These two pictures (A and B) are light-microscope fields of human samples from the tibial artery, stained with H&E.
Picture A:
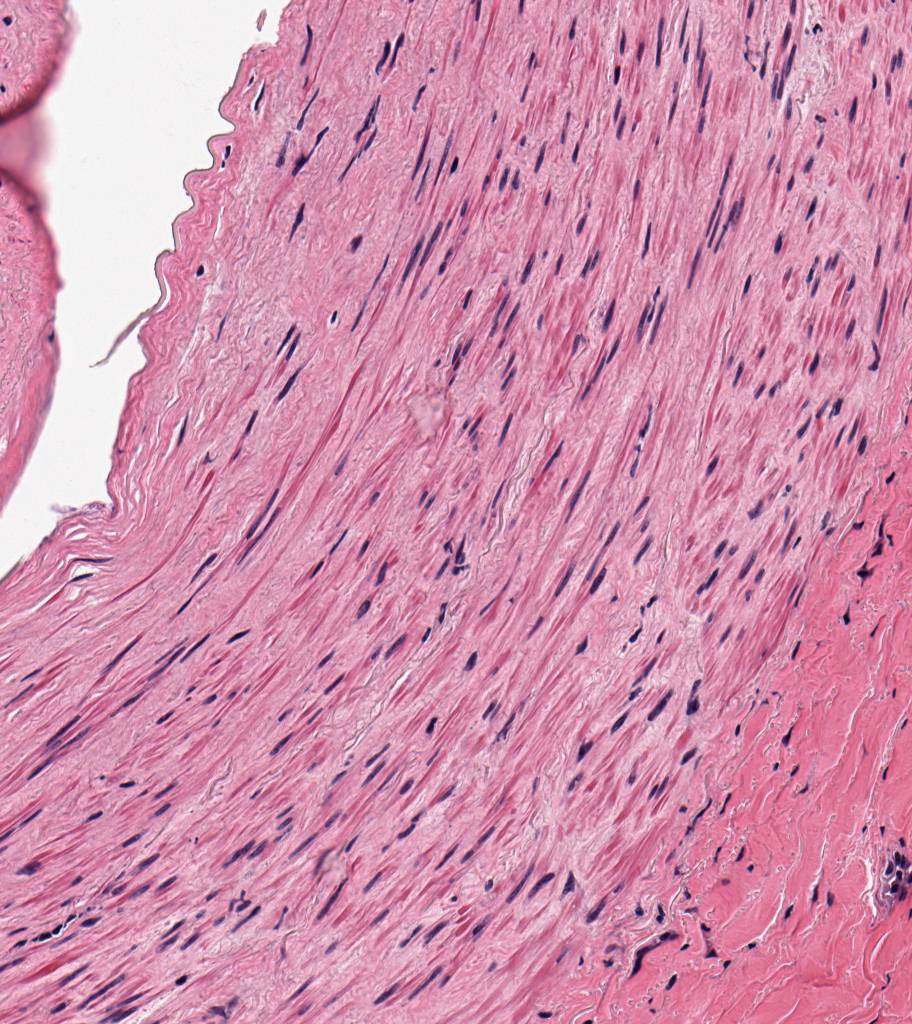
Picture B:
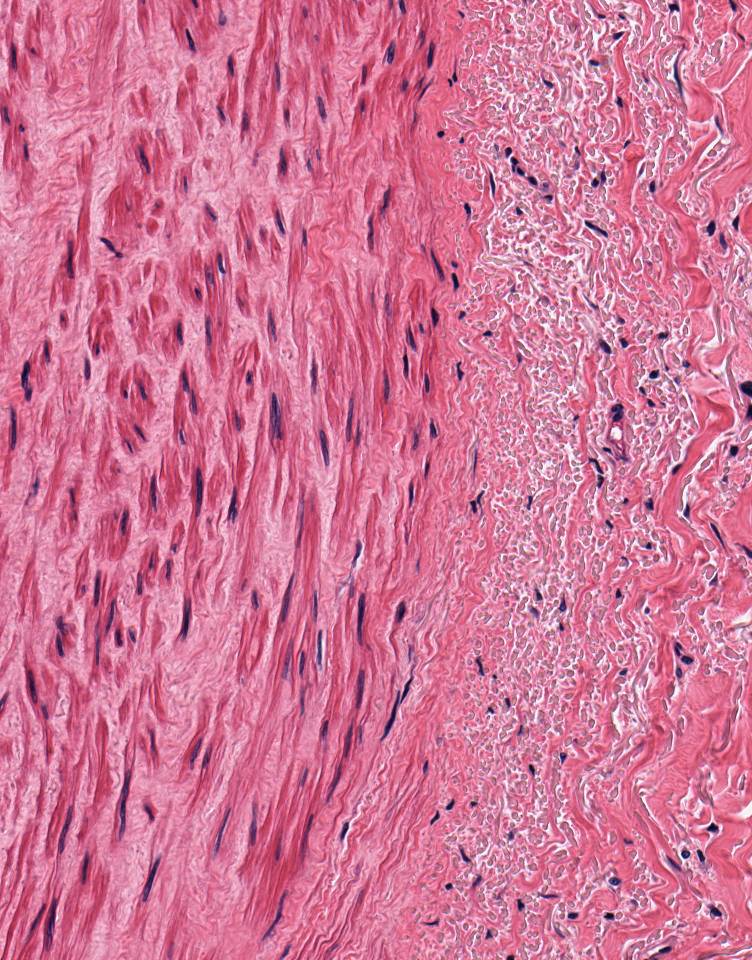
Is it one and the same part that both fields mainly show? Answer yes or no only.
yes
